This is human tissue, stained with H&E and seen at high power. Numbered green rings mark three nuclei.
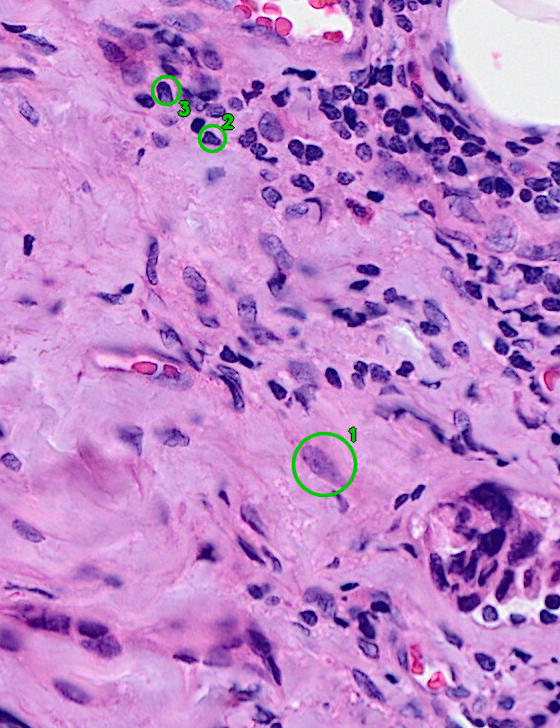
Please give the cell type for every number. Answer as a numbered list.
1. fibroblast
2. lymphocyte
3. lymphocyte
